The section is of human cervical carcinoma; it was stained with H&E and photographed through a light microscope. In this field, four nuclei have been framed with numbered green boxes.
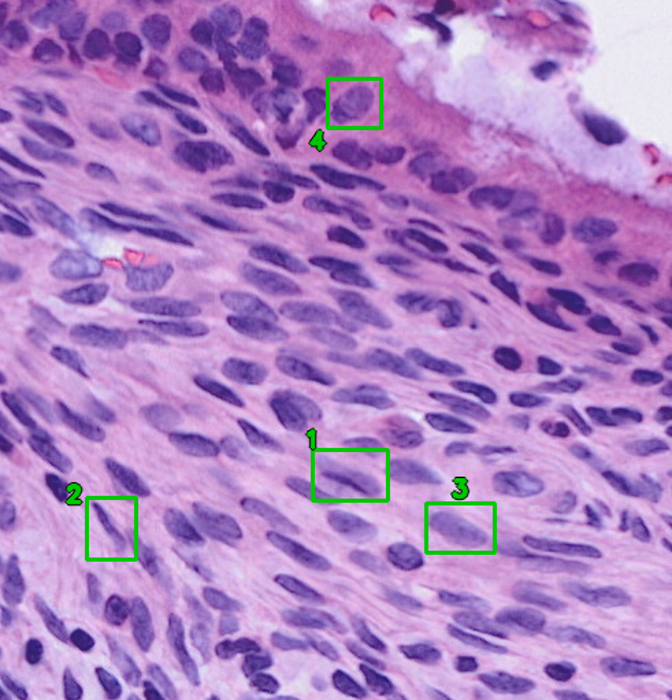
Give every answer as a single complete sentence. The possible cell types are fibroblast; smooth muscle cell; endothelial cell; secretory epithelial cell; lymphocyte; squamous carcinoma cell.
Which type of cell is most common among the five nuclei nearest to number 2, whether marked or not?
Fibroblasts make up most of the five nuclei closest to number 2.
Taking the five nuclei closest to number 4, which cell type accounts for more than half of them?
Secretory epithelial cells make up most of the five nuclei closest to number 4.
